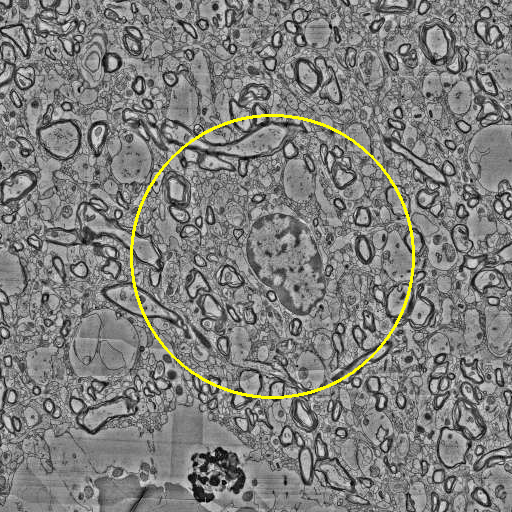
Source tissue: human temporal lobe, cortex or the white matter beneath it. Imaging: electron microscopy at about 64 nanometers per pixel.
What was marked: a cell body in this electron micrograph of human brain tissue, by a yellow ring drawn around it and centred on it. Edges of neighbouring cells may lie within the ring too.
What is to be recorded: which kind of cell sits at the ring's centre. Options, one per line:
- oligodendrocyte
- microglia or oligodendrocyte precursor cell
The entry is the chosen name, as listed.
microglia or oligodendrocyte precursor cell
